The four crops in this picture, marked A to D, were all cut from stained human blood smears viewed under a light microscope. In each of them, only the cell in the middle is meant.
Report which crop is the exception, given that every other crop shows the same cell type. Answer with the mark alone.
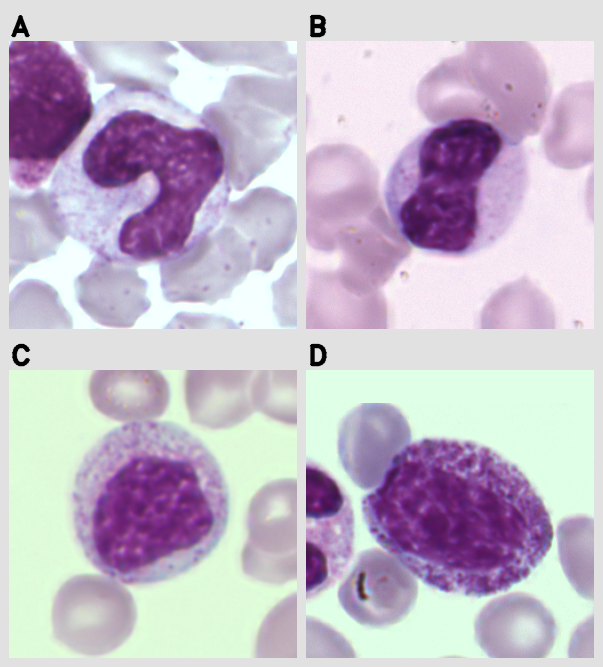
A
